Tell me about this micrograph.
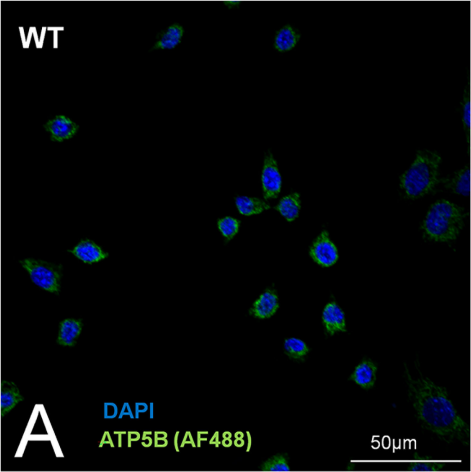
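Cultured cells lie scattered singly and in small clusters across a dark field. Each cell has a single oval blue nucleus that fills much of the cell. Around every nucleus is a rim of cytoplasm holding a granular, threadlike green signal. The green is densest right beside the nucleus and thins toward the cell edge. The cells are small and rounded to polygonal, with few or short extensions. A few cells lie close together, while most stand apart with clear space between them.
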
